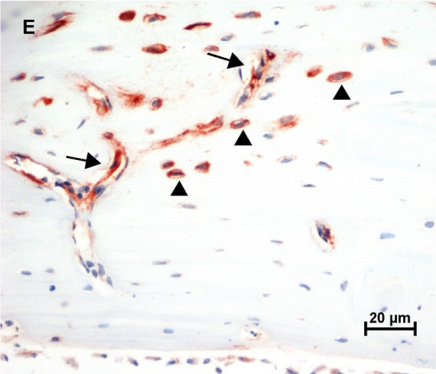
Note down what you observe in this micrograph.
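This is a section of bone: small oval osteocytes sit singly in lacunae scattered through pale blue-grey matrix, many with red-stained cytoplasm around a blue nucleus. Running through the matrix are narrow branching channels holding capillary blood vessels, lined by flattened elongated cells whose walls are also stained red.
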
